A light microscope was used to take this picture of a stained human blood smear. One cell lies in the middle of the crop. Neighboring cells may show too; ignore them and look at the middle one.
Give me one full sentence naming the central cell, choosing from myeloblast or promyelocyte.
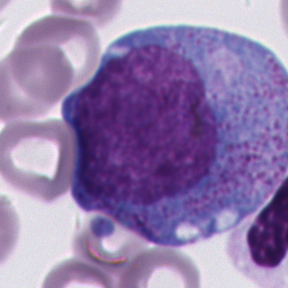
The crop's centre is taken up by a promyelocyte.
